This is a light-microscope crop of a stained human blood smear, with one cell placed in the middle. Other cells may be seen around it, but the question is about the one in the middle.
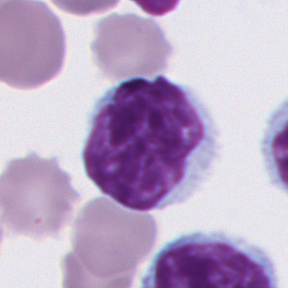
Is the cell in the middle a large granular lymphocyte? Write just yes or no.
no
